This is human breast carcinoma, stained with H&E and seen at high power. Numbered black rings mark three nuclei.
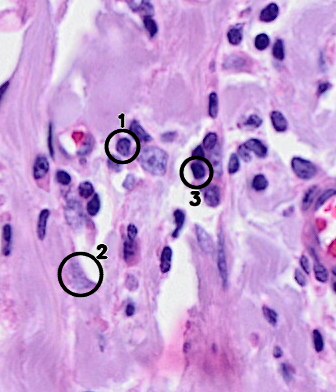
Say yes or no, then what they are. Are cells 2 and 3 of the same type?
No, cell 2 is a fibroblast, and in contrast cell 3 is a lymphocyte.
